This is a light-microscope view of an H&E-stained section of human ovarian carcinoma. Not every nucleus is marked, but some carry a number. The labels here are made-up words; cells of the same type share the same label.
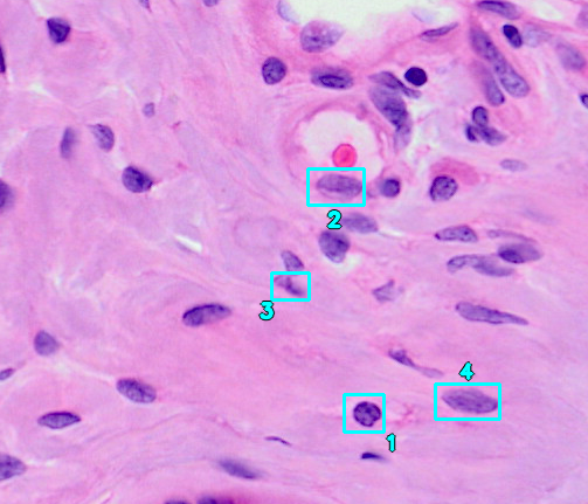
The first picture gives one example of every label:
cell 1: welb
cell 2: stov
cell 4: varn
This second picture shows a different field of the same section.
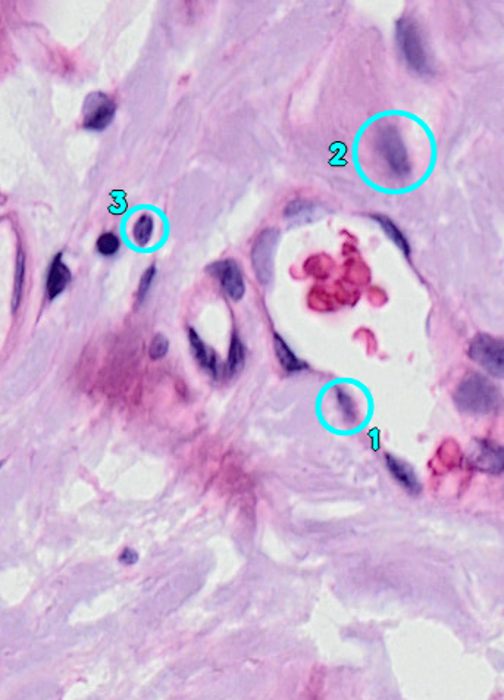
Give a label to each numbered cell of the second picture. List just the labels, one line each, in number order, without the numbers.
stov
stov
welb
